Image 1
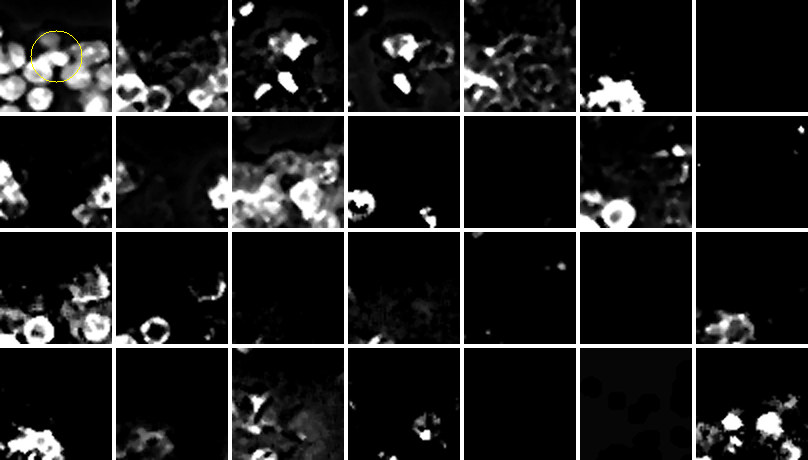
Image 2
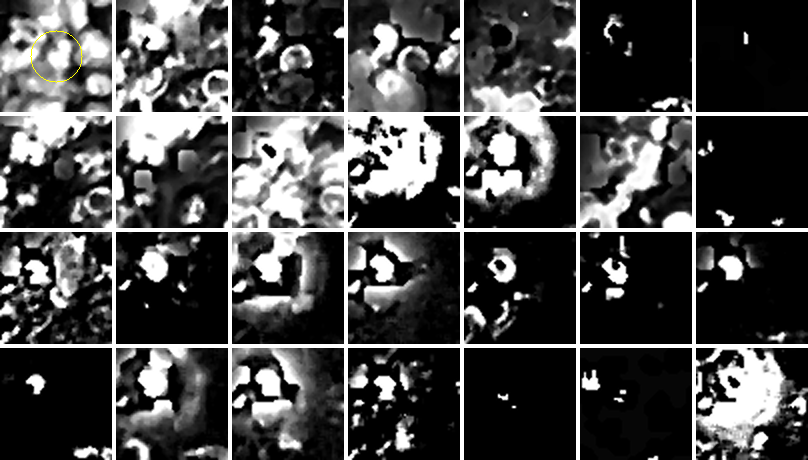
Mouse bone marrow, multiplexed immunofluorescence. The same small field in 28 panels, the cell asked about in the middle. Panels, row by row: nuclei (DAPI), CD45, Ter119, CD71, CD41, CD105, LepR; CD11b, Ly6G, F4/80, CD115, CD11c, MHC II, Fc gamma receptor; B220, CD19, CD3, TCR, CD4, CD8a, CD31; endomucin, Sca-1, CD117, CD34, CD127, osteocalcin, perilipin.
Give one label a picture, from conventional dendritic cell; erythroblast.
1. erythroblast
2. conventional dendritic cell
